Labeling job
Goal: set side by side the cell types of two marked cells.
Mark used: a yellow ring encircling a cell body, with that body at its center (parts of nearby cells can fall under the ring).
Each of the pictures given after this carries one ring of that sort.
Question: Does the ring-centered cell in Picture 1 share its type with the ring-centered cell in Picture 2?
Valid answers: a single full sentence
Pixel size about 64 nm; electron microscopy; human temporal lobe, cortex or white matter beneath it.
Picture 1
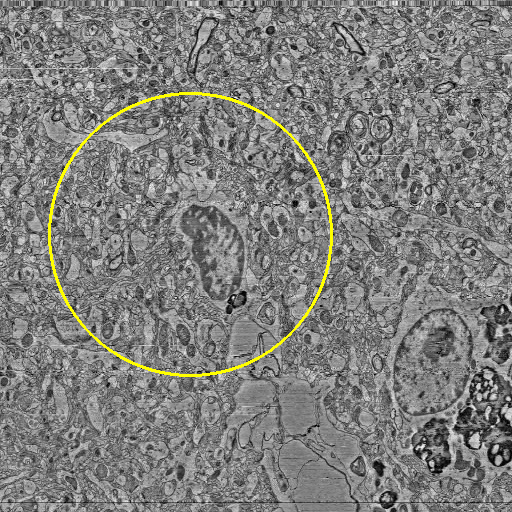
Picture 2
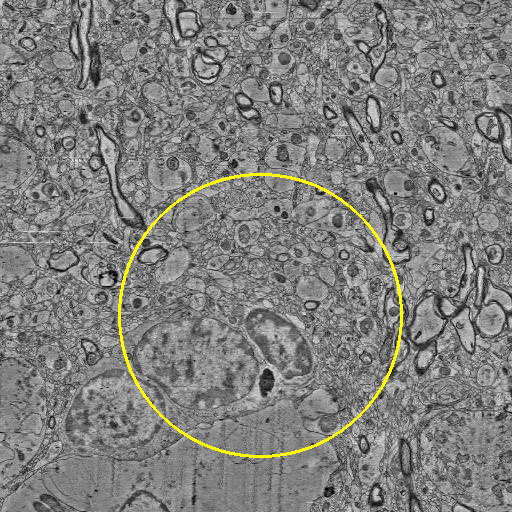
Yes, in Pictures 1 and 2 the cells at the ring centers share one type.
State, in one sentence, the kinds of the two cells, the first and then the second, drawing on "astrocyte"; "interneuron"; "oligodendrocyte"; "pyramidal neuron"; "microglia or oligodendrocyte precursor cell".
The cell at the ring centre is a microglial cell or oligodendrocyte precursor cell in both pictures.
